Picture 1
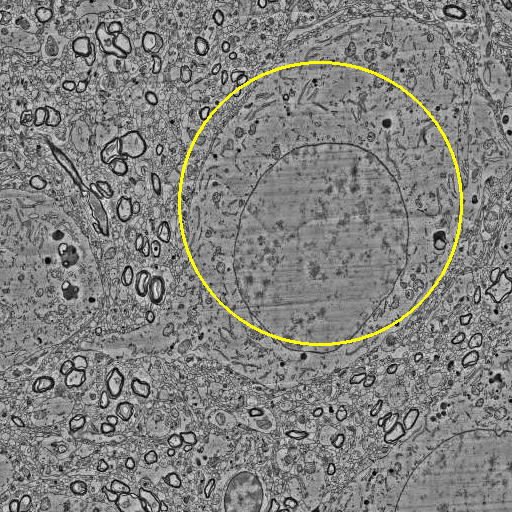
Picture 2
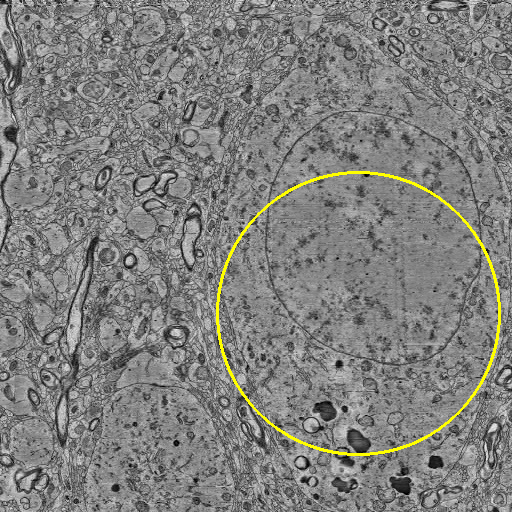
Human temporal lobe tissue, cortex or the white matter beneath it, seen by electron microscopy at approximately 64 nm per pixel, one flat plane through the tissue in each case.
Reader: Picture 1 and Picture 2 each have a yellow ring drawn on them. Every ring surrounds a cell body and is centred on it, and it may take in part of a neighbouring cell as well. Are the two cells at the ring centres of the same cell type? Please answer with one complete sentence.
Yes, both cells are of the same cell type.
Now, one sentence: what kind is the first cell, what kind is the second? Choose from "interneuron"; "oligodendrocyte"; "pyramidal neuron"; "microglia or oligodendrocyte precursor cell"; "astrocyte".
Both pictures show a pyramidal neuron at the centre of the ring.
